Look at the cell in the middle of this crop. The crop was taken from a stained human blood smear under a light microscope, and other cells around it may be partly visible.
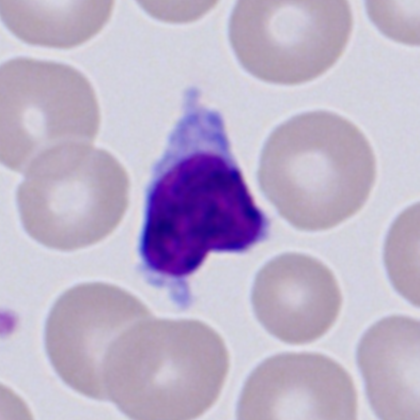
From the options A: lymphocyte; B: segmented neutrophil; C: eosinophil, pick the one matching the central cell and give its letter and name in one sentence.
Option A correctly names the cell in the middle as a lymphocyte.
